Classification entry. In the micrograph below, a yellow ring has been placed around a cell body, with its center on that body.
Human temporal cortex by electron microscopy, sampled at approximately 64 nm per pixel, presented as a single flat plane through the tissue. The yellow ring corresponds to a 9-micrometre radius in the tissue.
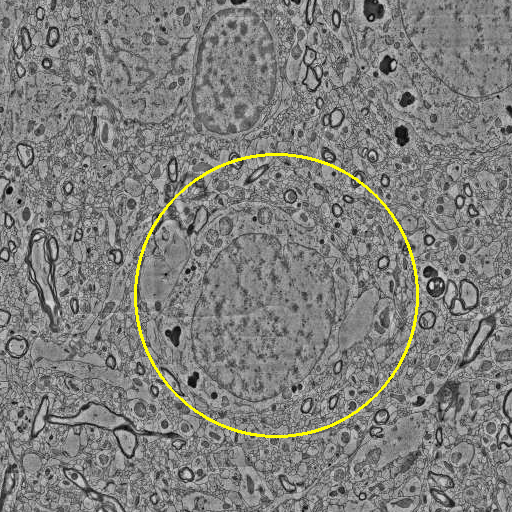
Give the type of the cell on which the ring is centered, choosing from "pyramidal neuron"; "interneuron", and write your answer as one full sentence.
The cell body at the center of the yellow ring belongs to a pyramidal neuron.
